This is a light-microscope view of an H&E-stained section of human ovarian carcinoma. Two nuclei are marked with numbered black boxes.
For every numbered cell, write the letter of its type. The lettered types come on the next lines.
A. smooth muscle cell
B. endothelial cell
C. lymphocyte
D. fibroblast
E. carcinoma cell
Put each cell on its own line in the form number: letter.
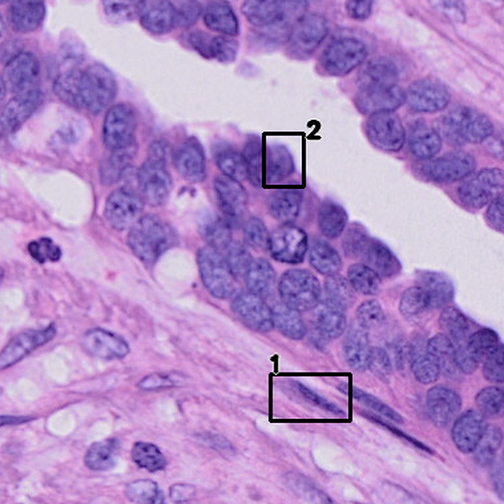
1: D
2: E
